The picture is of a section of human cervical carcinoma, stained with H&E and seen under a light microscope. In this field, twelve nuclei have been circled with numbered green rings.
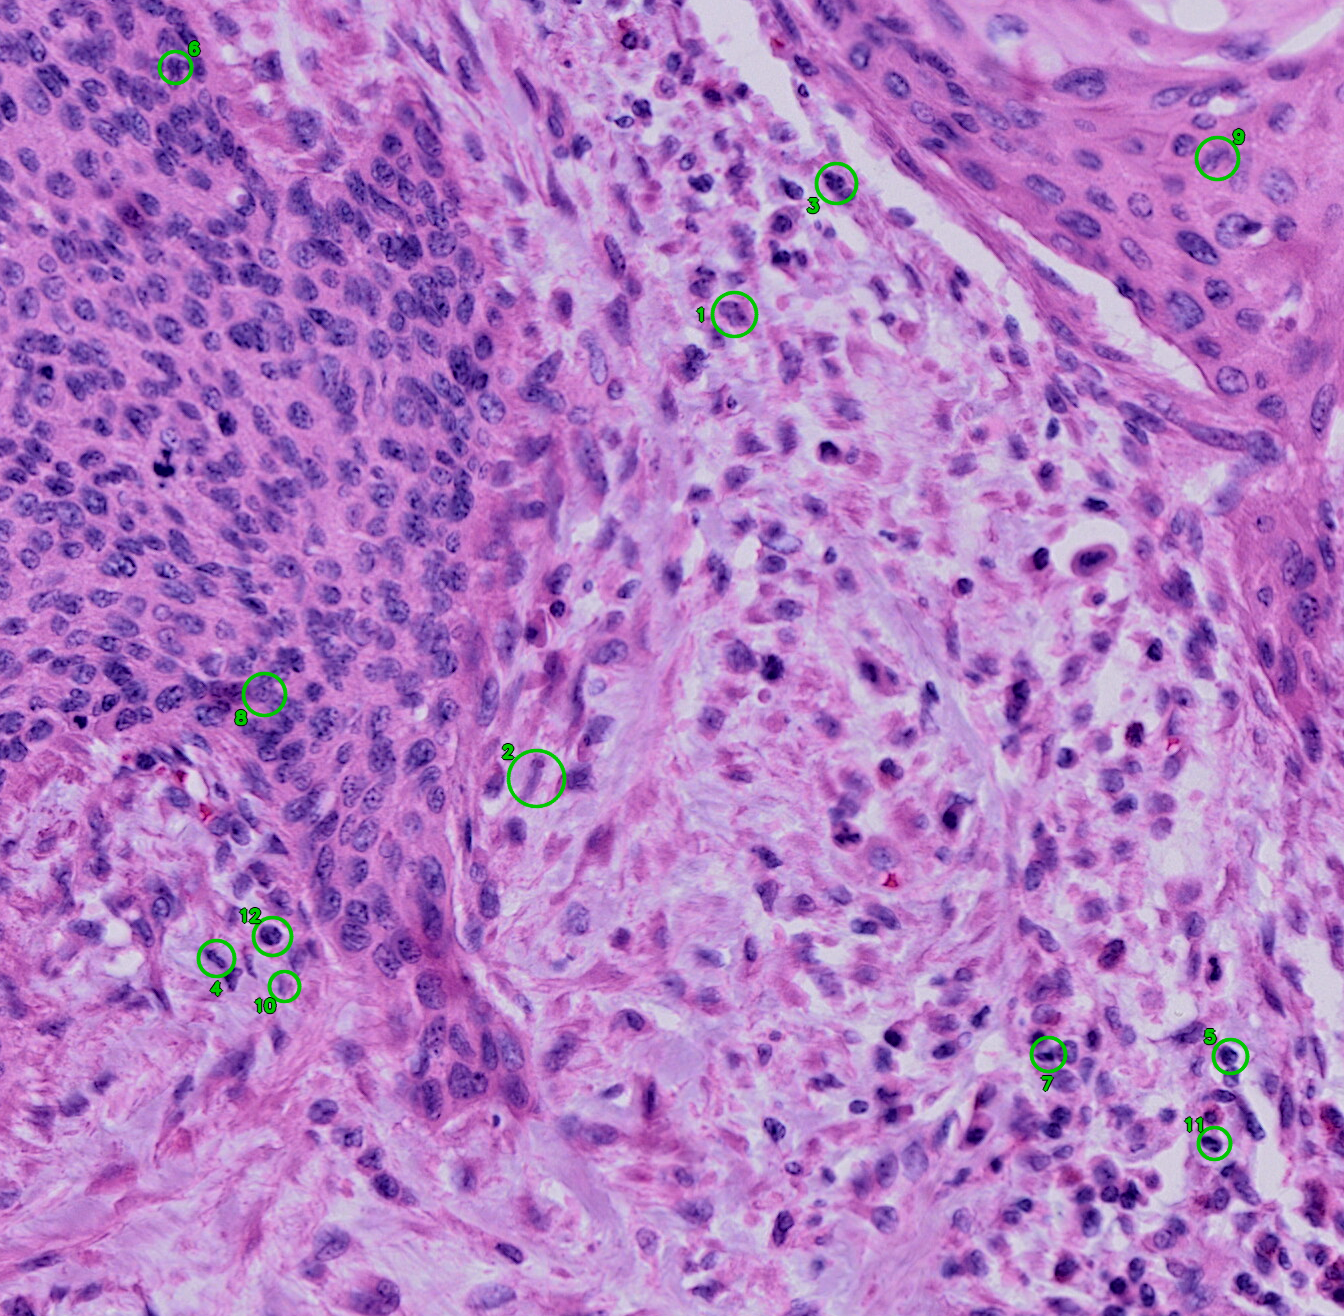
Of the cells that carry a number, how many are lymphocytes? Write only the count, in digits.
5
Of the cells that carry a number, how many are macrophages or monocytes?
1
